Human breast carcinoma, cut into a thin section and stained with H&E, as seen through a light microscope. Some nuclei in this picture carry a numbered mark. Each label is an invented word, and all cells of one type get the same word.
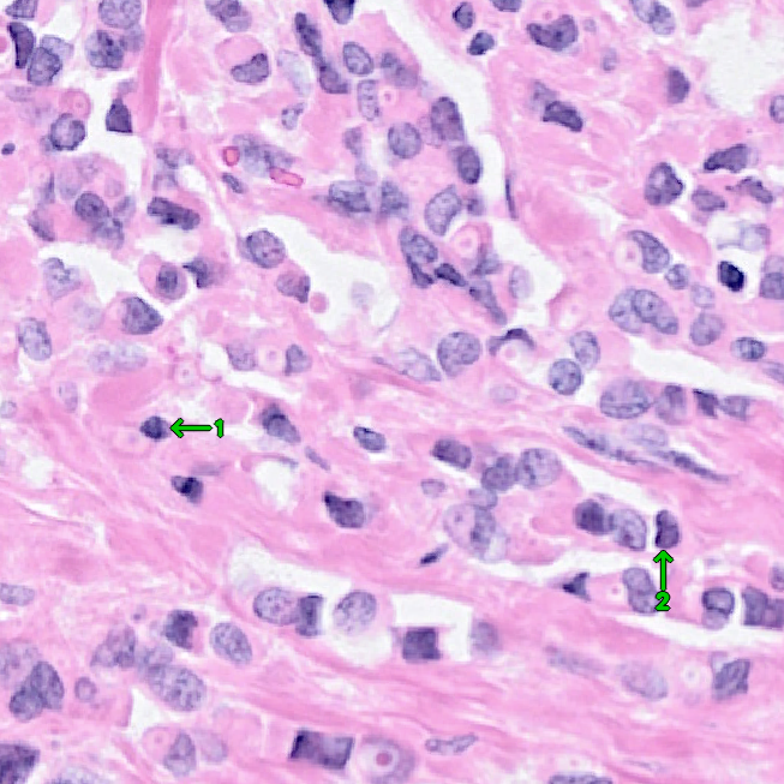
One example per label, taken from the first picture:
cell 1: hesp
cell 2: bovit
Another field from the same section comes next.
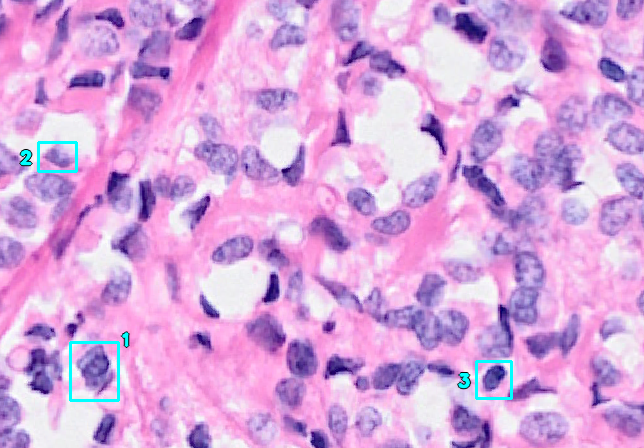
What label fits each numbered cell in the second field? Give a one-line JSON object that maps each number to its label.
{"1": "bovit", "2": "bovit", "3": "hesp"}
